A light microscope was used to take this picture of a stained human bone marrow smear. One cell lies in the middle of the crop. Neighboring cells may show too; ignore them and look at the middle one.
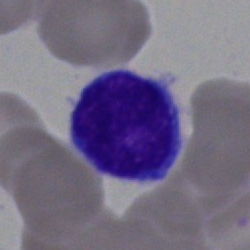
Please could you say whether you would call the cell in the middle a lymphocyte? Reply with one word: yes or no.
yes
